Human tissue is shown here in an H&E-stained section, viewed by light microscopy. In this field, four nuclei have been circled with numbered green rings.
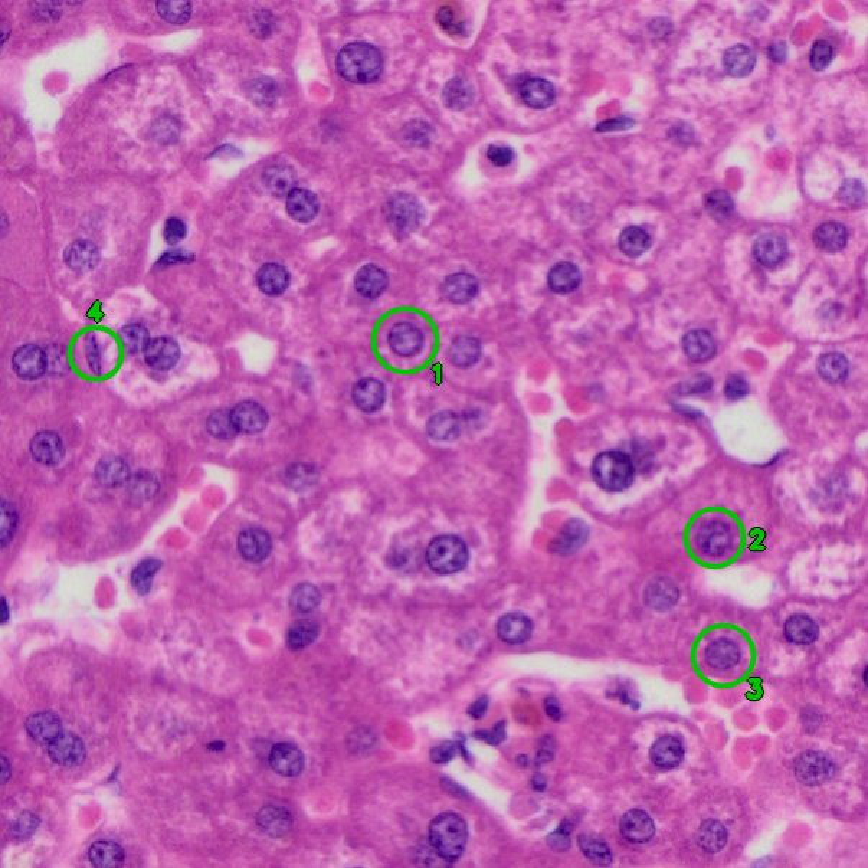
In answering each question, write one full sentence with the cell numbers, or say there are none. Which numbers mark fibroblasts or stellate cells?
Only the cell numbered 4 is a fibroblast or stellate cell; none of the others is.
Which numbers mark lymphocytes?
The group of numbered cells contains no lymphocytes.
